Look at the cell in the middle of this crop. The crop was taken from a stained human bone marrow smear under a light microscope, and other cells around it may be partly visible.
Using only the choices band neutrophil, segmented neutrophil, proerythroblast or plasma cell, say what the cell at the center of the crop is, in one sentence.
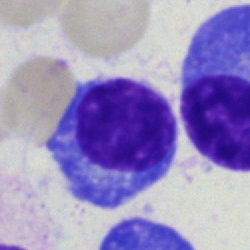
In the middle of this smear crop, the cell is a plasma cell.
